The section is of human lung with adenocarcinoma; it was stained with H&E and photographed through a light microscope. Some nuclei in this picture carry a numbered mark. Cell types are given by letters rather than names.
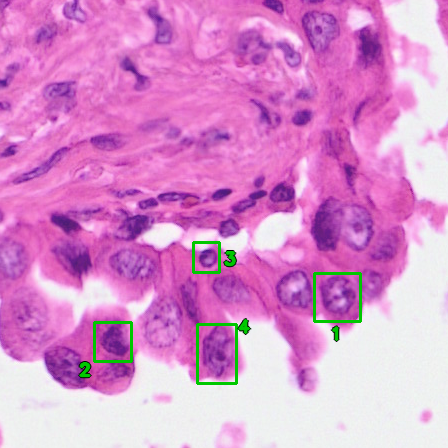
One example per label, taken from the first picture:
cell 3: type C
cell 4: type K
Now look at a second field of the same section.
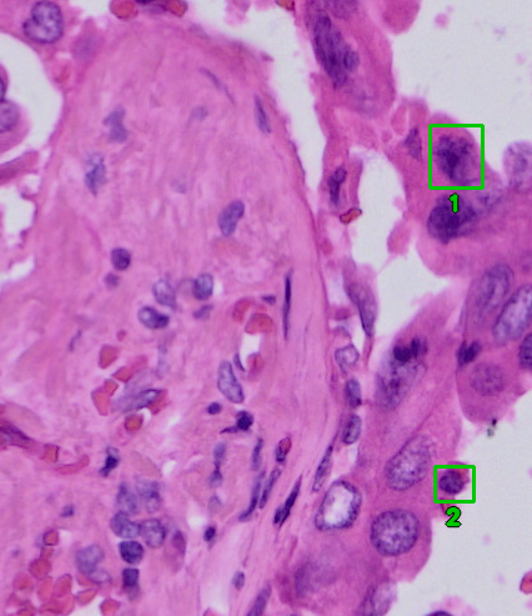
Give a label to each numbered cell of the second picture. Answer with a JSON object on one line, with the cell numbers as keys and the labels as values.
{"1": "type K", "2": "type C"}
